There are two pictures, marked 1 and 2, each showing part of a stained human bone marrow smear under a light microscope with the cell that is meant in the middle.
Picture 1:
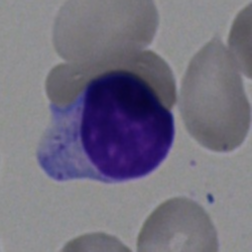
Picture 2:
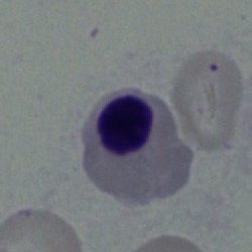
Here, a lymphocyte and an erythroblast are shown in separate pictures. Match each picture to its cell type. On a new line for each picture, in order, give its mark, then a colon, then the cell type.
1: lymphocyte
2: erythroblast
